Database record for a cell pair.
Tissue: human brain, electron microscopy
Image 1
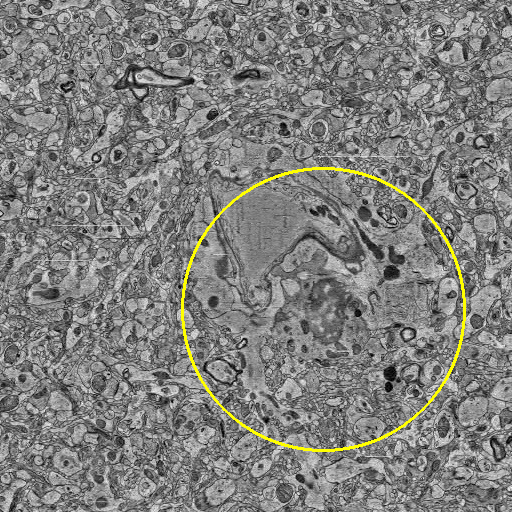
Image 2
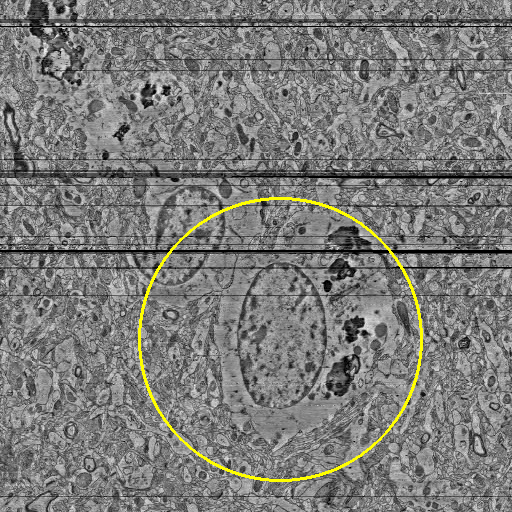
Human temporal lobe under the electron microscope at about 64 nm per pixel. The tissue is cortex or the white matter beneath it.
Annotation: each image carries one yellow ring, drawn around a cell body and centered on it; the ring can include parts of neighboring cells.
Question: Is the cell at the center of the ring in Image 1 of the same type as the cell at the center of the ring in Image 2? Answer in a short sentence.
No, the cells are of two types.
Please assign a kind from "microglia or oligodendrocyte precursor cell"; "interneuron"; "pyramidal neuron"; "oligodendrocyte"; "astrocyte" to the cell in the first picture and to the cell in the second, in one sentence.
In the first picture we have an oligodendrocyte, and in the second, an astrocyte.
